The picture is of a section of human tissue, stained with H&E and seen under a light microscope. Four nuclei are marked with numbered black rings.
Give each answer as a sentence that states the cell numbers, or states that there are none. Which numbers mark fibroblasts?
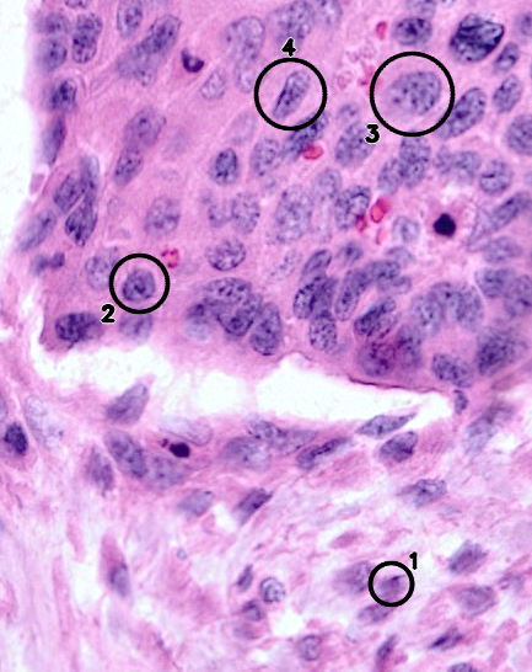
In contrast to the remaining marked cells, cell 1 is a fibroblast.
